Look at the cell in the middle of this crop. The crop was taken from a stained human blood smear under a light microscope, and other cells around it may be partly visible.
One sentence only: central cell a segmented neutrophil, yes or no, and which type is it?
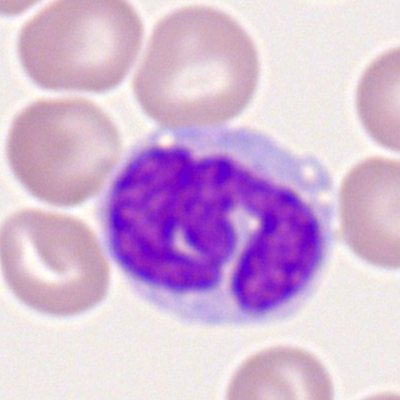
No, the central cell is counted as a monocyte instead of a segmented neutrophil.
